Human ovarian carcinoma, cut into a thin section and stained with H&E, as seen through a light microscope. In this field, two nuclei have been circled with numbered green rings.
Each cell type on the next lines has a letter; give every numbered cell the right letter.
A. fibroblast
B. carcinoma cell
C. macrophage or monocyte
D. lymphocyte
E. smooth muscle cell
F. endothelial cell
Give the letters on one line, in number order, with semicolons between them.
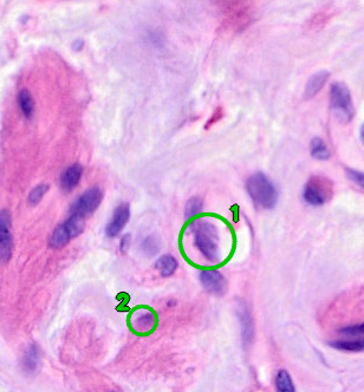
F; E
